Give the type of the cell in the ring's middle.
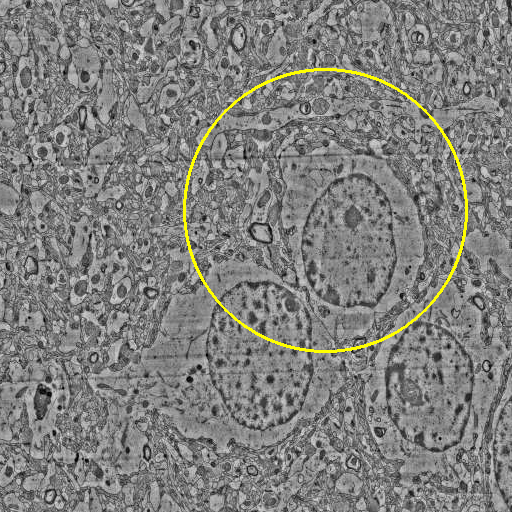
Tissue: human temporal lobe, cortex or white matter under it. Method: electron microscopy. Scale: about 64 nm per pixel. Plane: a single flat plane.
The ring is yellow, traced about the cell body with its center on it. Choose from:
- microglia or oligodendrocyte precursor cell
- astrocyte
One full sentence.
Here, an astrocyte is the cell lying at the center of the yellow ring.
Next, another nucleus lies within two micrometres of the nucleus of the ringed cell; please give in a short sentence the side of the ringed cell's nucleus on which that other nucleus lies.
The other nucleus sits to the lower left of it.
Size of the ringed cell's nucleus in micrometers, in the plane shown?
Approximately 8 micrometres long and 6 micrometres wide, in this plane.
